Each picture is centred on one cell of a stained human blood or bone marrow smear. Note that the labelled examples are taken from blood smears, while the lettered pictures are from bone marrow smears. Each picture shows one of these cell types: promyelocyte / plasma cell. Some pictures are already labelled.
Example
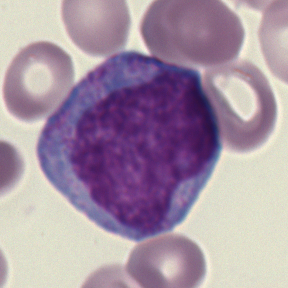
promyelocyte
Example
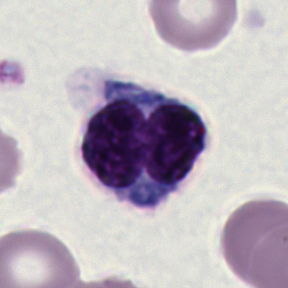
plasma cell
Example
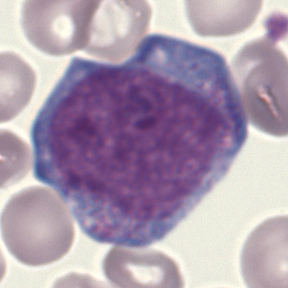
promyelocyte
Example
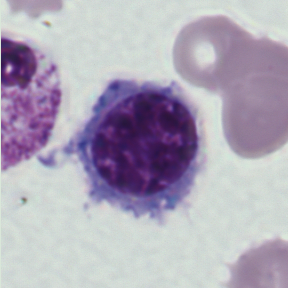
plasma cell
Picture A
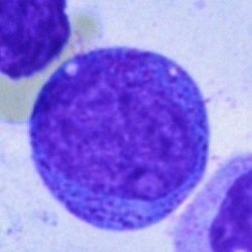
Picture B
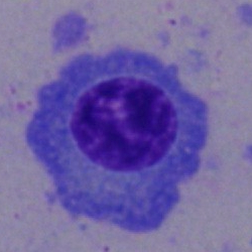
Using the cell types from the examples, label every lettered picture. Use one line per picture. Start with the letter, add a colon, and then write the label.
A: promyelocyte
B: plasma cell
